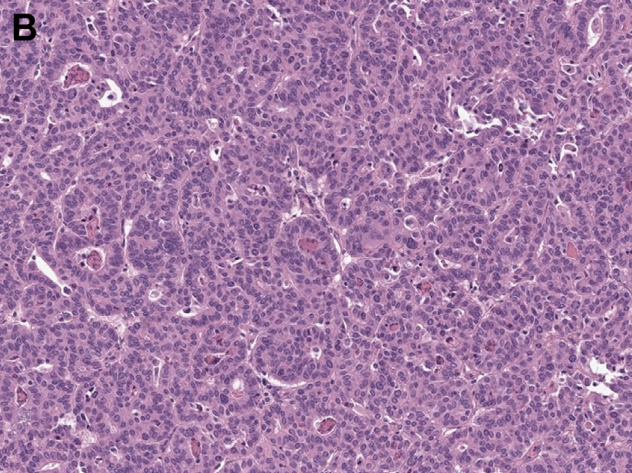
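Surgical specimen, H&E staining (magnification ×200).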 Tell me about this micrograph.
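Tumor of epithelial cells arranged in sheets and nests that form many small glandular lumina, some holding pink eosinophilic secretion. The cells have round to oval nuclei and moderate amounts of pale pink cytoplasm, with thin fibrovascular stroma between the groups.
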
